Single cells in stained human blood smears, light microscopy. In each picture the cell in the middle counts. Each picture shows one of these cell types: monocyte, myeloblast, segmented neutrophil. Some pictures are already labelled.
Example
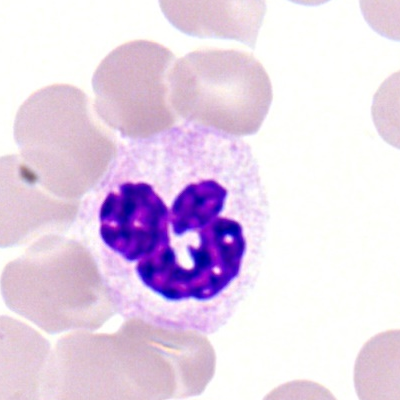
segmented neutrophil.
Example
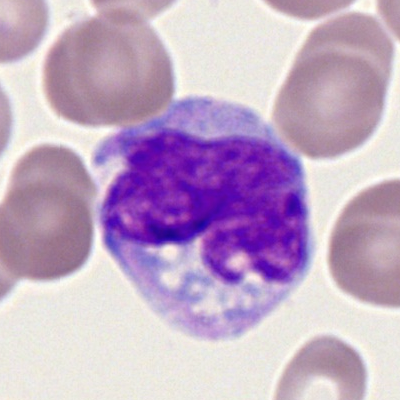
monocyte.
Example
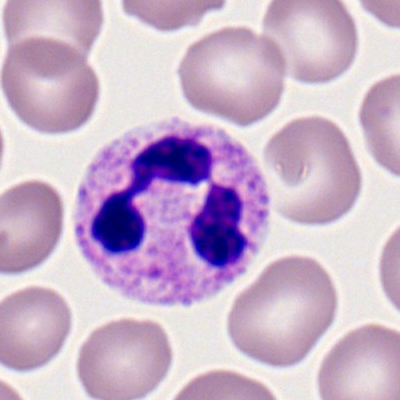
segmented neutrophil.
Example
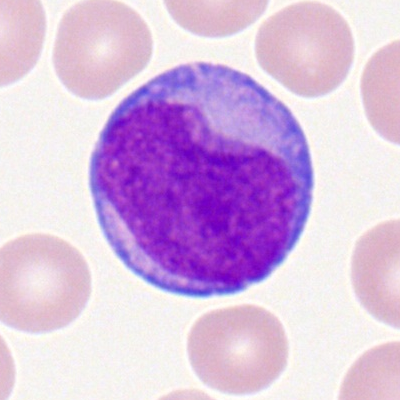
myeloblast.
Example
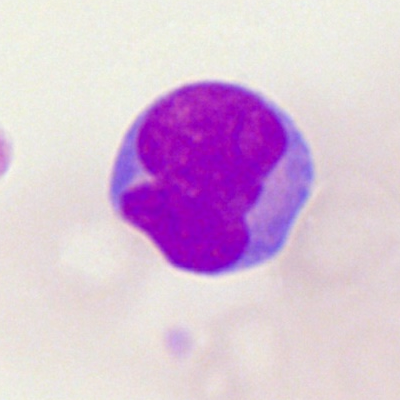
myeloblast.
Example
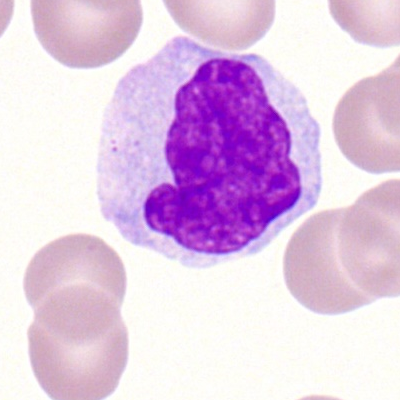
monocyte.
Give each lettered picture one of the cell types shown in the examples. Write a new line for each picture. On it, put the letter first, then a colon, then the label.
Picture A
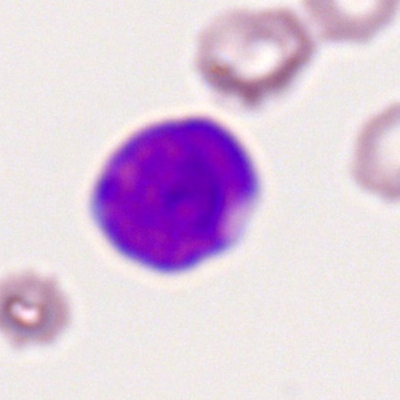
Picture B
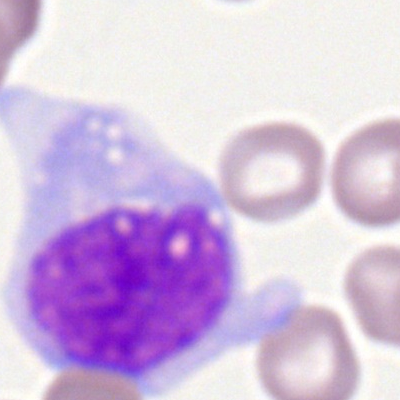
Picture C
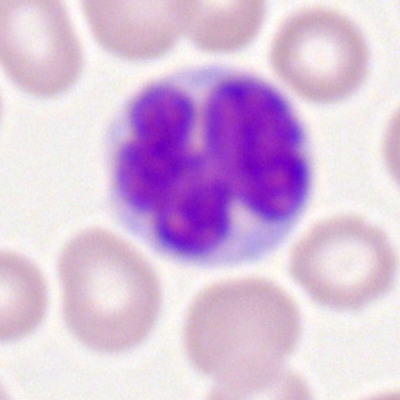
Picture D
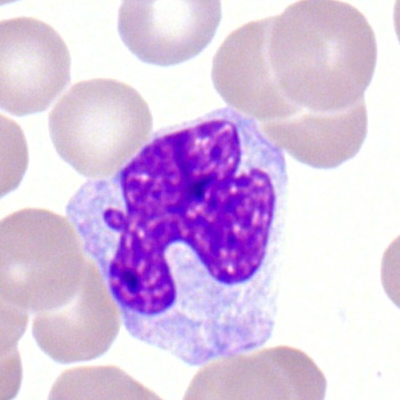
A: myeloblast.
B: monocyte.
C: monocyte.
D: monocyte.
